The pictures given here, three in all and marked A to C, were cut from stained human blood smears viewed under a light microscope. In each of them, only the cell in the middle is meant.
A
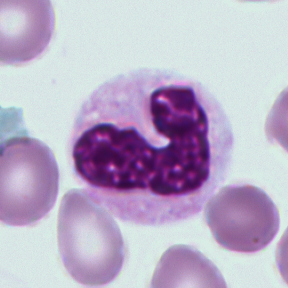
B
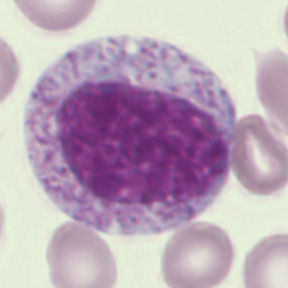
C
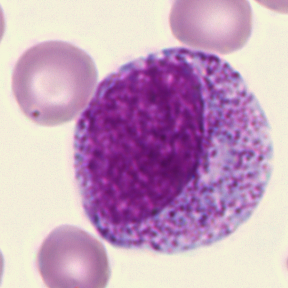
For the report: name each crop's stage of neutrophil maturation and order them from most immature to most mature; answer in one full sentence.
Increasing in maturity, the crops run crop C (a promyelocyte), crop B (a myelocyte) and crop A (a band neutrophil).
